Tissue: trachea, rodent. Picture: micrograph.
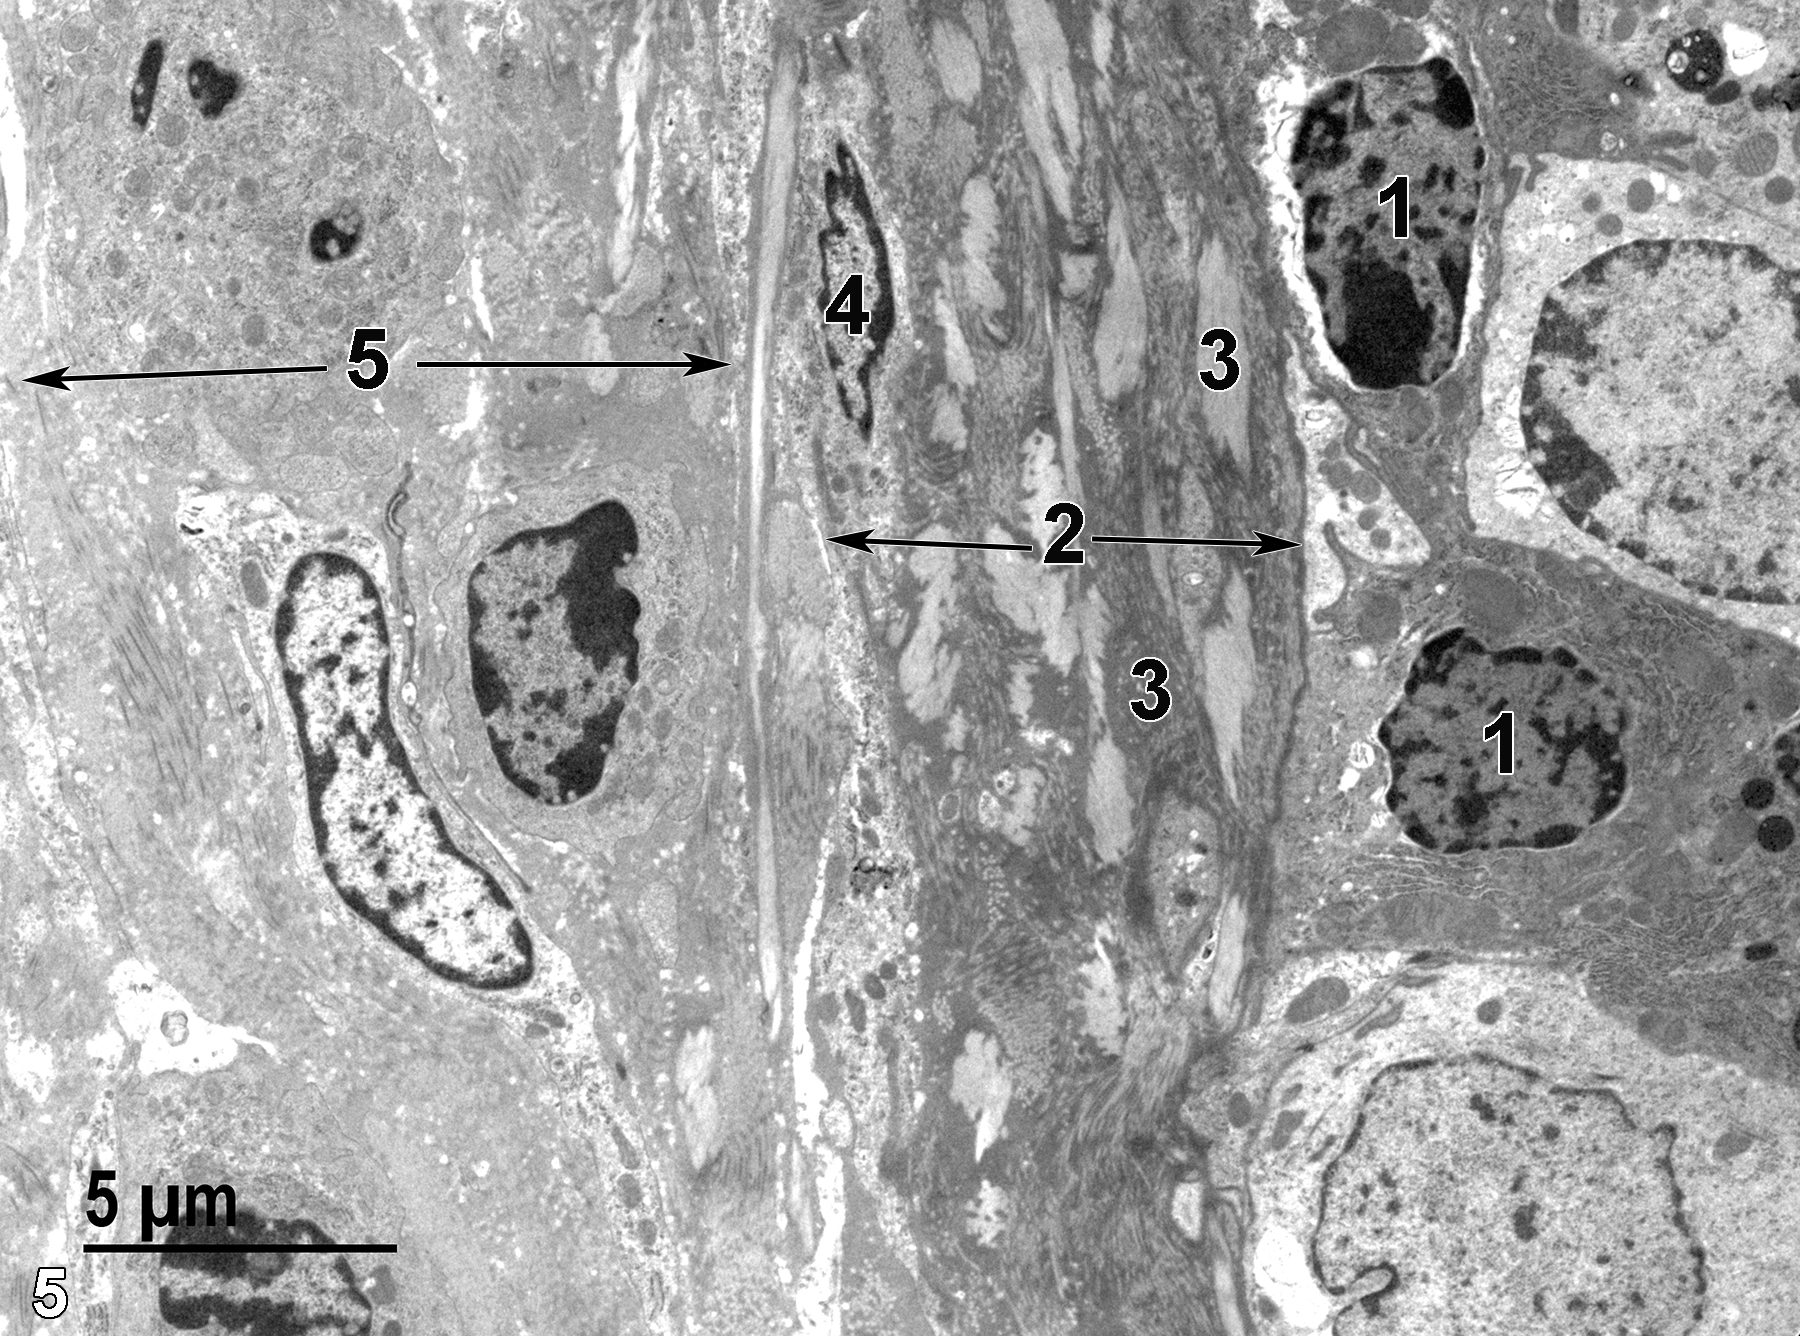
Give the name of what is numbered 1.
At 1: nuclei of two basal cells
